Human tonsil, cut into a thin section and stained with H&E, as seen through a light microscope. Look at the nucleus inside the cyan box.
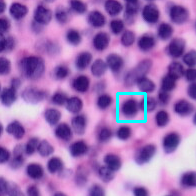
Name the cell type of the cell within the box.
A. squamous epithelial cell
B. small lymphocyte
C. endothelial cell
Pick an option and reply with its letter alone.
B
